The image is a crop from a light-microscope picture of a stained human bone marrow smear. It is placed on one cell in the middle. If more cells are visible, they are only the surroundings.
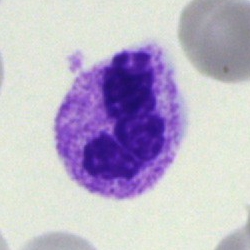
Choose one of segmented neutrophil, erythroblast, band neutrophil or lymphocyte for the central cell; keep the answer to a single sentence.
Of the cells in this crop, the central one is a segmented neutrophil.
